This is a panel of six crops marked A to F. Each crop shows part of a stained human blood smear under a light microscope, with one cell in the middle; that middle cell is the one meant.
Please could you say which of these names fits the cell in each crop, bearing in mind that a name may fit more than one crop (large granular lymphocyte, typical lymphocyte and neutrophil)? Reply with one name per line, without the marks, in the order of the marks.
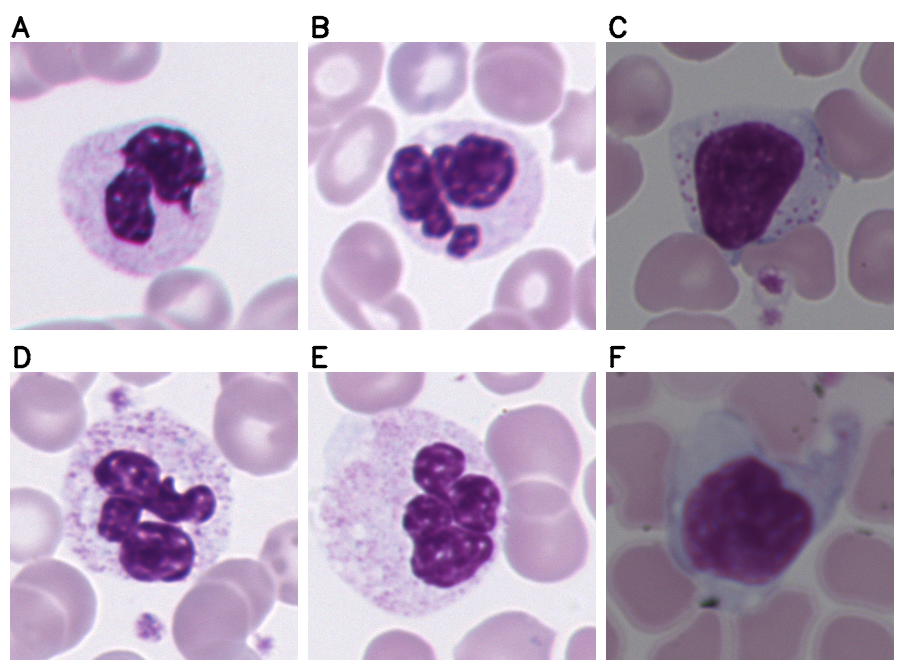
neutrophil
neutrophil
large granular lymphocyte
neutrophil
neutrophil
typical lymphocyte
